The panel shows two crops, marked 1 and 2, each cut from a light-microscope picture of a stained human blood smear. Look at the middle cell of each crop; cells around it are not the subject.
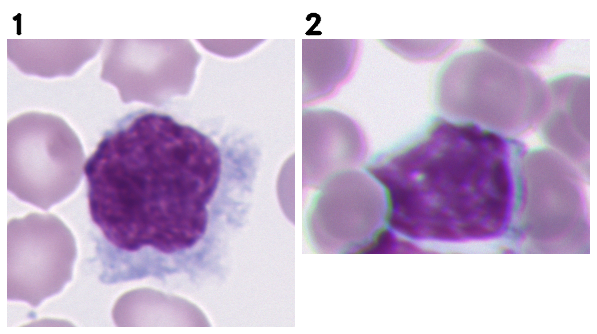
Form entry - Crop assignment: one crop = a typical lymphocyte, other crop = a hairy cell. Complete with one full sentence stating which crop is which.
Crop 1 contains a hairy cell, and crop 2 contains a typical lymphocyte.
